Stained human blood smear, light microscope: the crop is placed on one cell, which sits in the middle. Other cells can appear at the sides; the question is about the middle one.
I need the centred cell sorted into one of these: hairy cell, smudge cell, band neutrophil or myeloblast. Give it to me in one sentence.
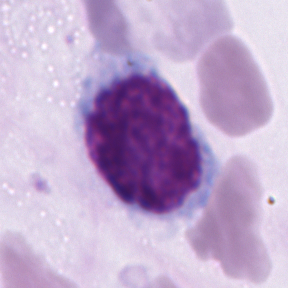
In the crop, the cell of interest at the centre is a hairy cell.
